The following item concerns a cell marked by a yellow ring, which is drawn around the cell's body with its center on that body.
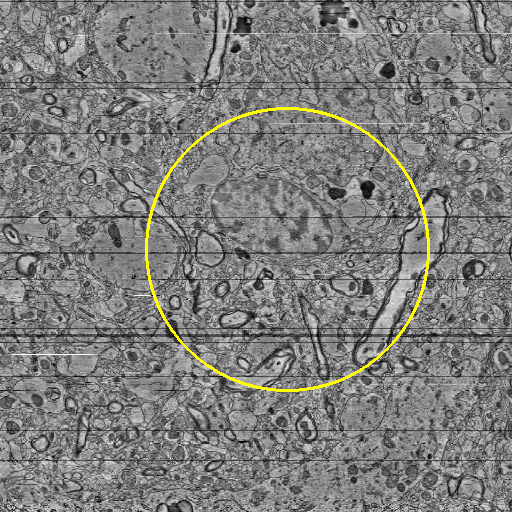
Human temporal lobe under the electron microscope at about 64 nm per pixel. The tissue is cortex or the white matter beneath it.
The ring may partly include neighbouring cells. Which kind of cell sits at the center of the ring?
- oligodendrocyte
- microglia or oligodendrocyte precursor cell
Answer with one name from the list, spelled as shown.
oligodendrocyte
